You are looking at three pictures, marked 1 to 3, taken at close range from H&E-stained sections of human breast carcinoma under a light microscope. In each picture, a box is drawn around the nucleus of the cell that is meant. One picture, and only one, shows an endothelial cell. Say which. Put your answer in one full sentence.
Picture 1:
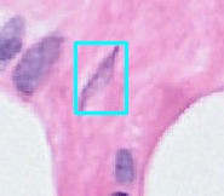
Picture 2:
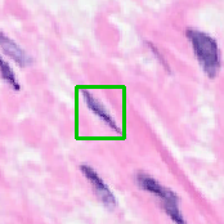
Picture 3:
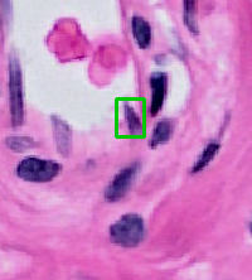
The picture with the endothelial cell is 3.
